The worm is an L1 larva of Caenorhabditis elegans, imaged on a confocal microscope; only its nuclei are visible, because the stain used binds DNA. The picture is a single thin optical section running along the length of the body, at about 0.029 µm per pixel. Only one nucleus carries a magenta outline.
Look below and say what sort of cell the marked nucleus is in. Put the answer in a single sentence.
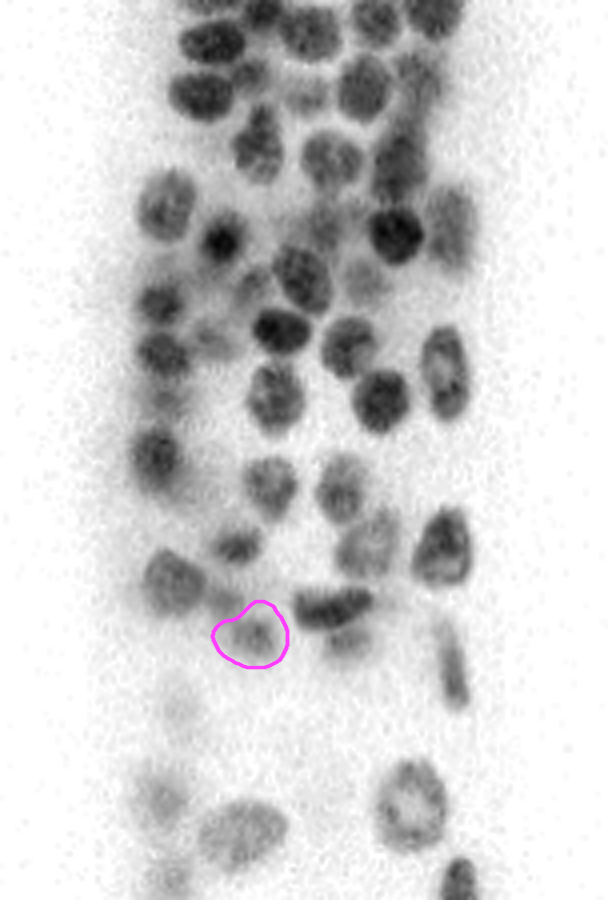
This nucleus is from a valve cell of the gut.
